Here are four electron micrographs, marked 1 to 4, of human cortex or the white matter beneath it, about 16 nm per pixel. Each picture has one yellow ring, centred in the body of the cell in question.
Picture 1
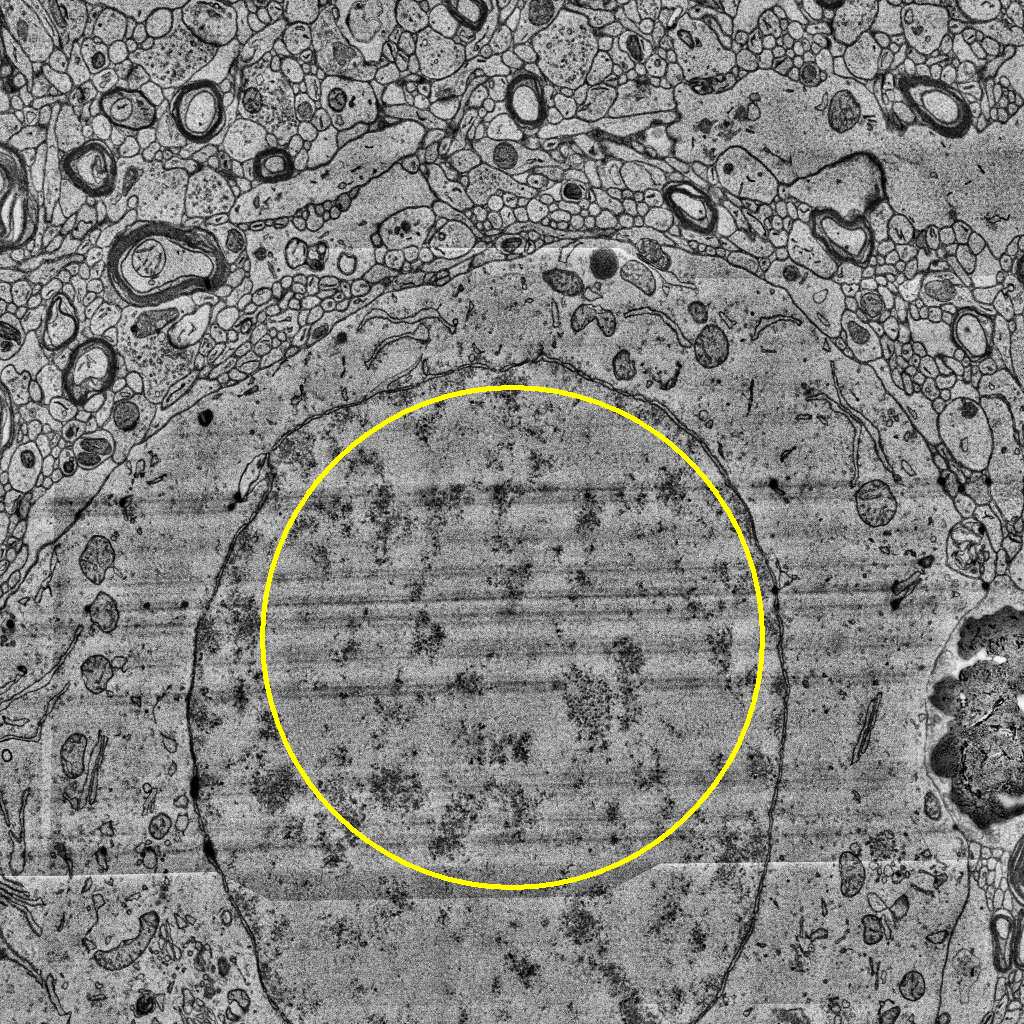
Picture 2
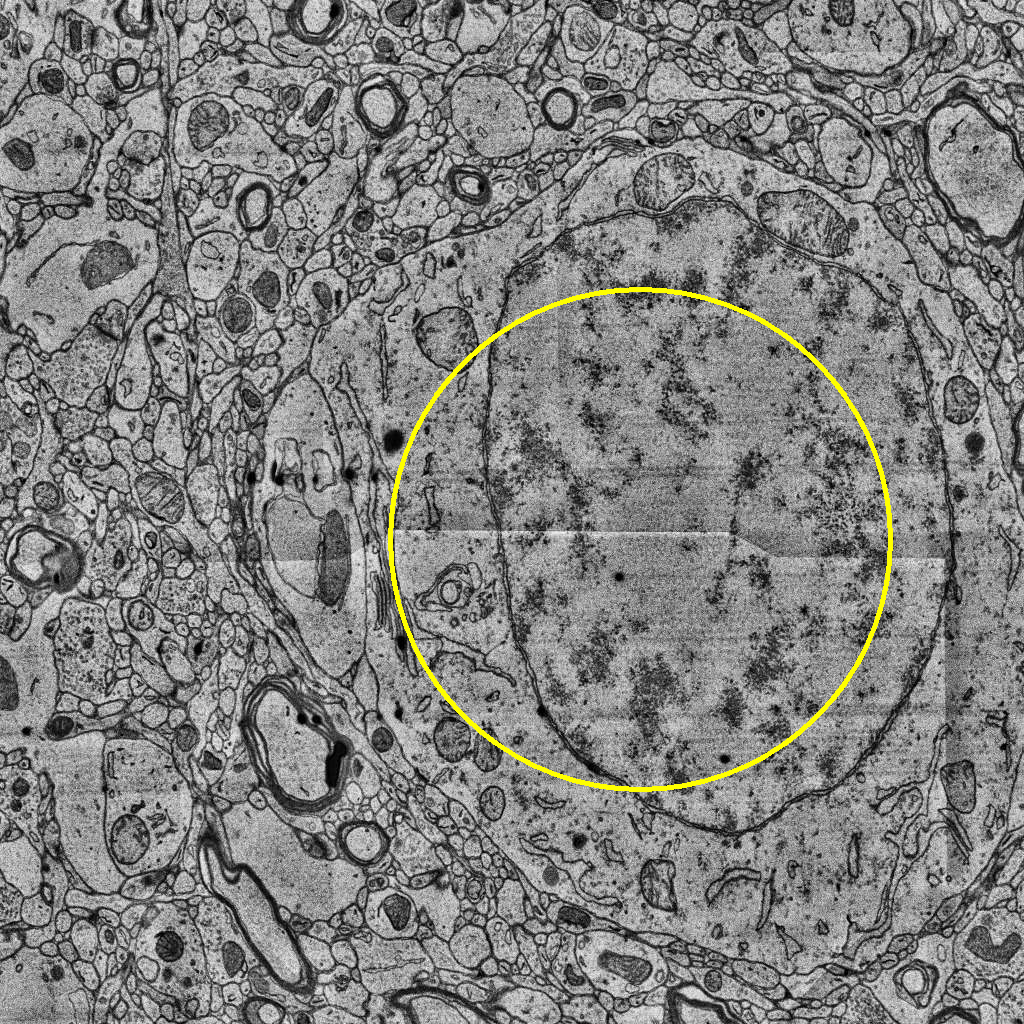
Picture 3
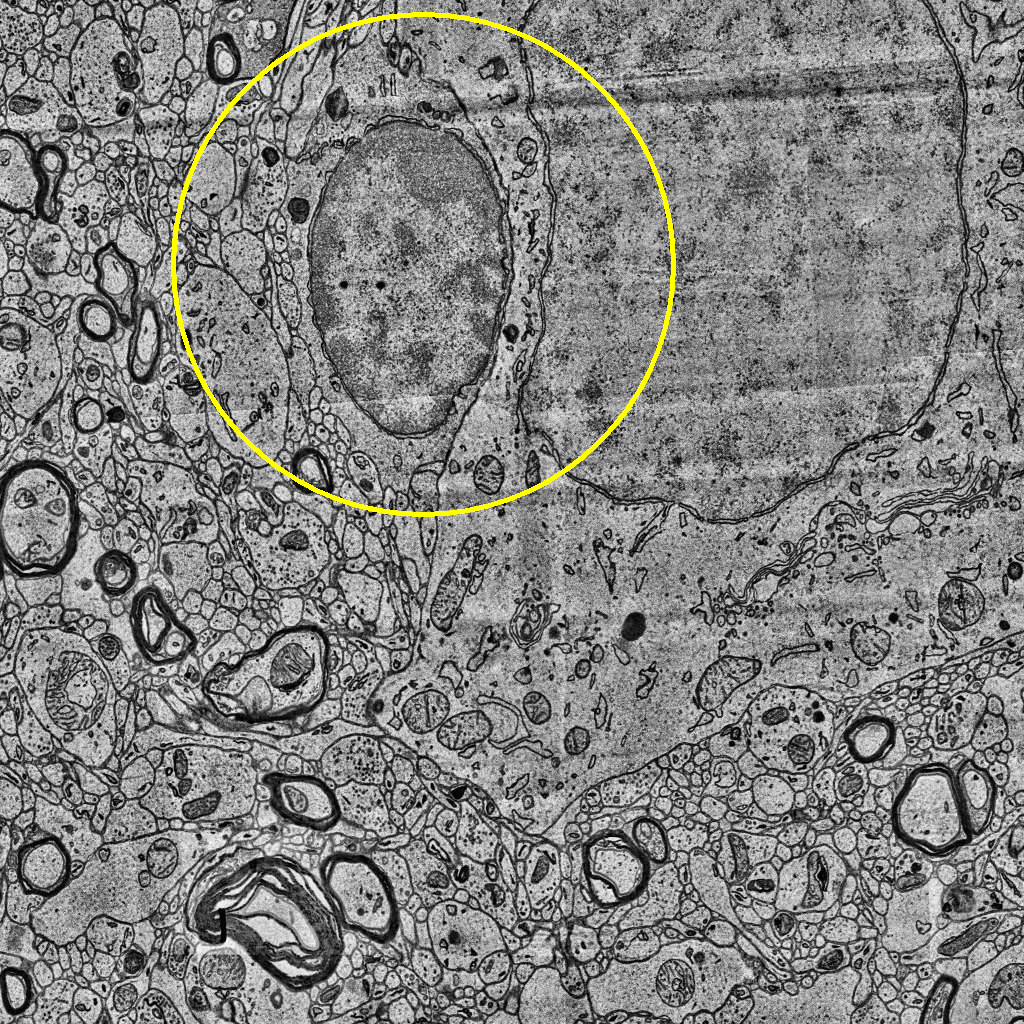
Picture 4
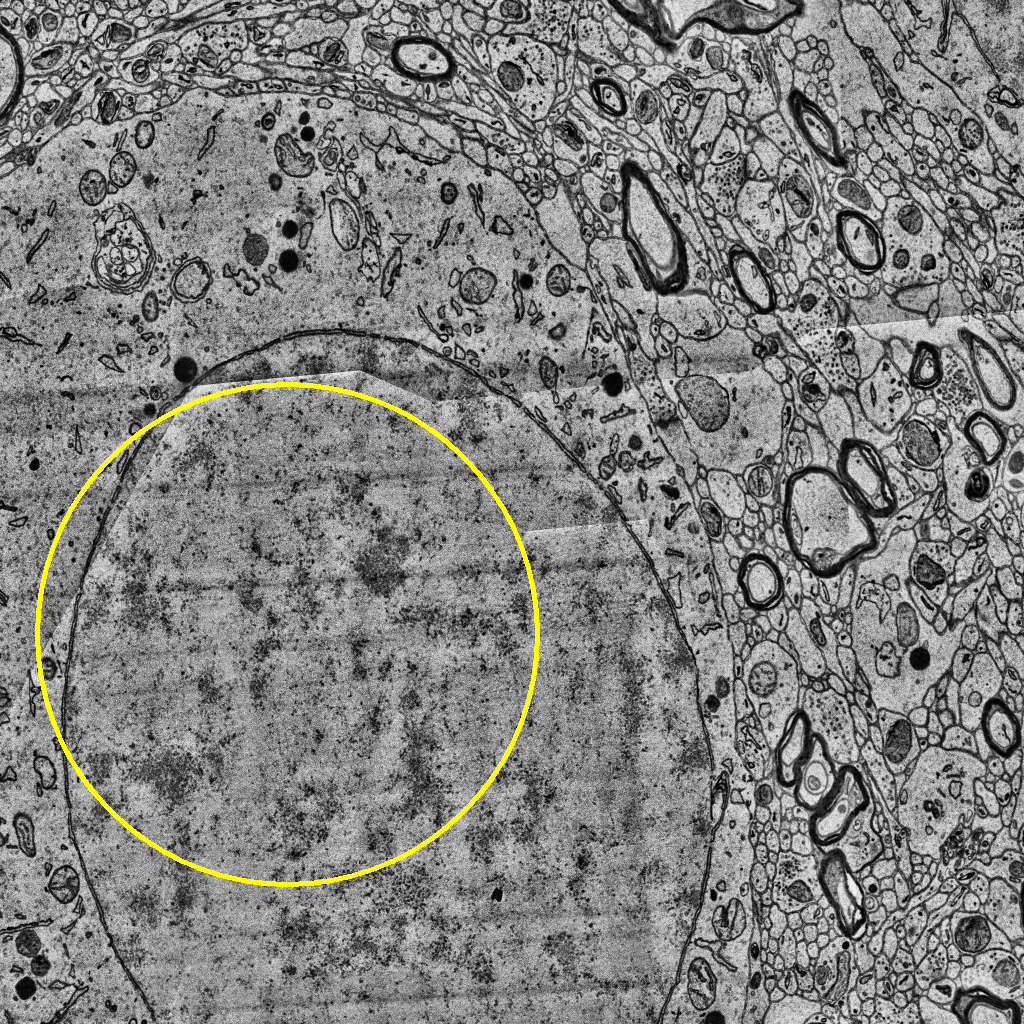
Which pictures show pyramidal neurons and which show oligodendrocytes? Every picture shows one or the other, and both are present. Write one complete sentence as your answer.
Pictures 1, 2 and 4 show pyramidal neurons, and picture 3 shows an oligodendrocyte.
